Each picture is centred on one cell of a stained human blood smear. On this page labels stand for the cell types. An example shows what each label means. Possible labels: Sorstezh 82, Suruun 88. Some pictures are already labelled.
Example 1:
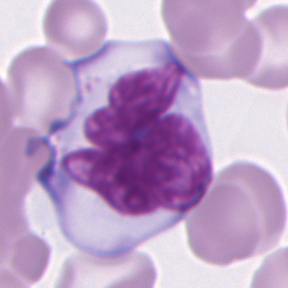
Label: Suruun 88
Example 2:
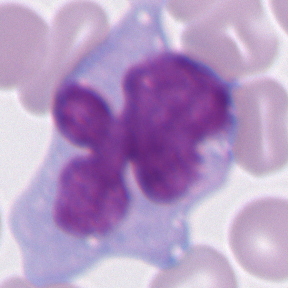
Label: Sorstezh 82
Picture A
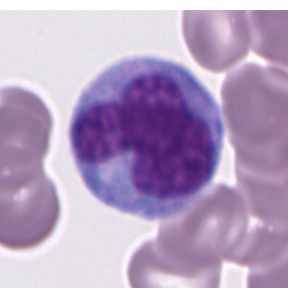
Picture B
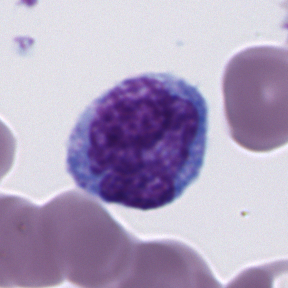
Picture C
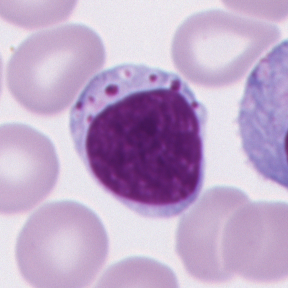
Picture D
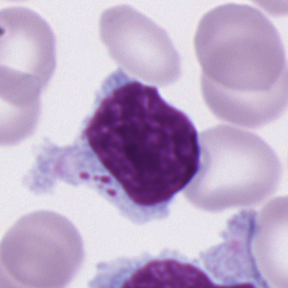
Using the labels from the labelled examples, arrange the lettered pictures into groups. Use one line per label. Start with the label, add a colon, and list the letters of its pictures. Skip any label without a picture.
Sorstezh 82: A, B
Suruun 88: C, D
